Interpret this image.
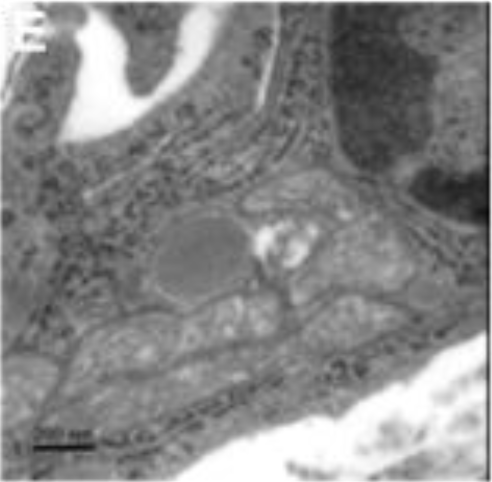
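Parallel, closely stacked cisternae of rough endoplasmic reticulum run through the cytoplasm, their membranes dotted with small dark ribosomes. The cisternae are narrow, with thin lumens. Round organelles with internal structure, likely mitochondria, lie among them. A pale empty space lies at the upper left.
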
